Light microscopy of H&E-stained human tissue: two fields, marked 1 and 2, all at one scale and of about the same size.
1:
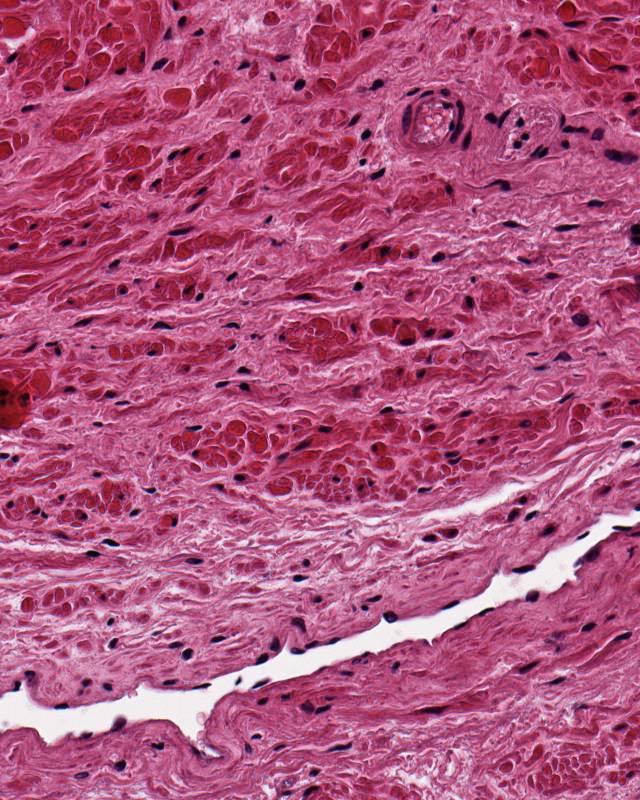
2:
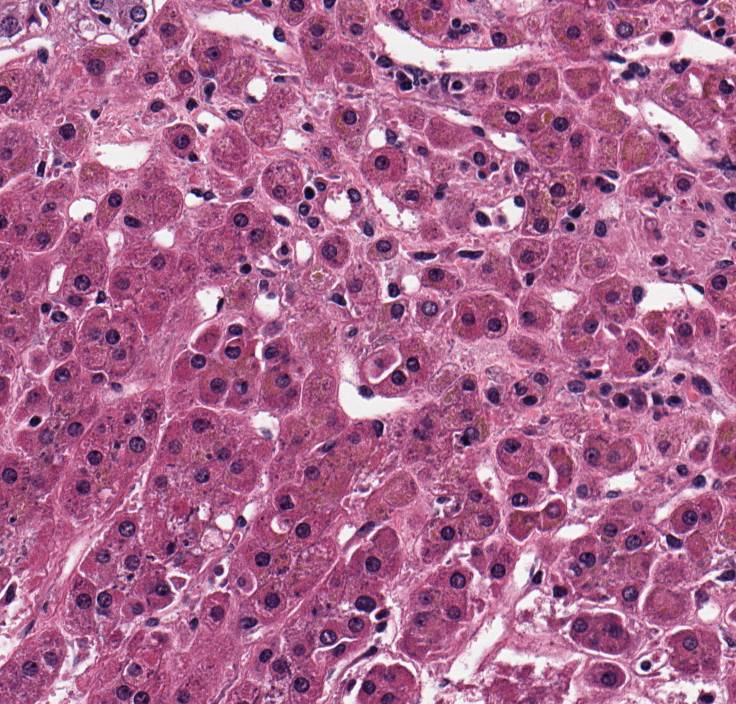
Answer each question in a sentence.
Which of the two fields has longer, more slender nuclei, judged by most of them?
It is picture 1 whose nuclei are the more elongated.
